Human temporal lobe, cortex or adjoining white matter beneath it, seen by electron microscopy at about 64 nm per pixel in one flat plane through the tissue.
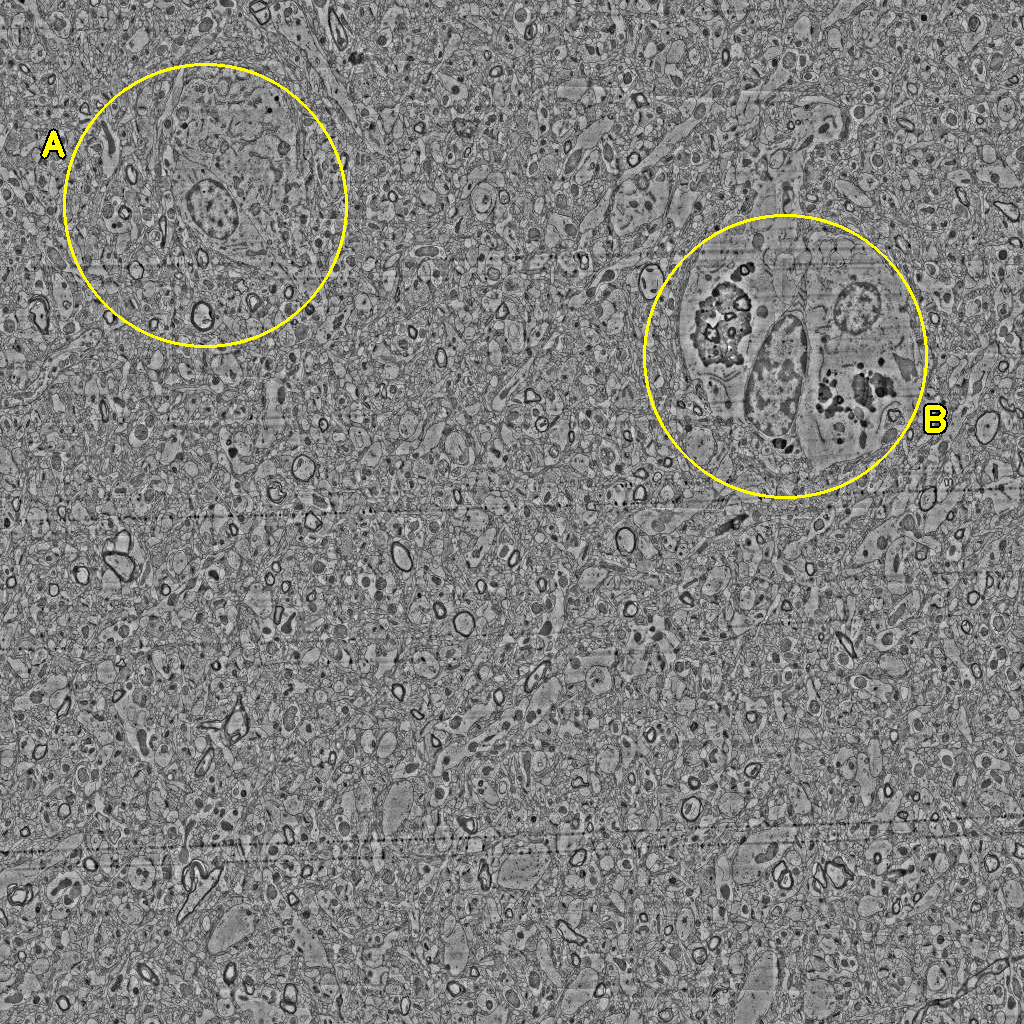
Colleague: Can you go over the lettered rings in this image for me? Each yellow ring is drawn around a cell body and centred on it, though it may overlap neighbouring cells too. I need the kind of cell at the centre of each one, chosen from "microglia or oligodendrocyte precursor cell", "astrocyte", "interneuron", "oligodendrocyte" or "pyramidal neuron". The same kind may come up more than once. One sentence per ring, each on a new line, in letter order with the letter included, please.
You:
Ring A marks the cell body of a microglial cell or oligodendrocyte precursor cell.
Ring B marks the cell body of a microglial cell or oligodendrocyte precursor cell.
